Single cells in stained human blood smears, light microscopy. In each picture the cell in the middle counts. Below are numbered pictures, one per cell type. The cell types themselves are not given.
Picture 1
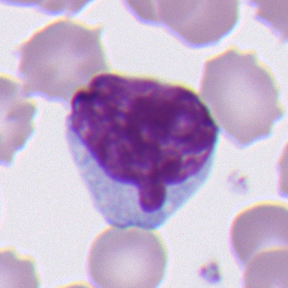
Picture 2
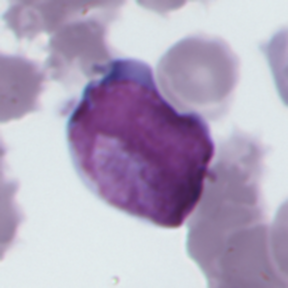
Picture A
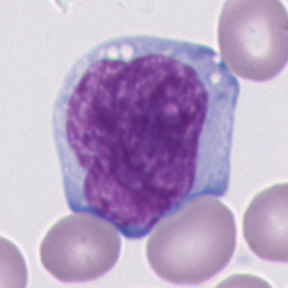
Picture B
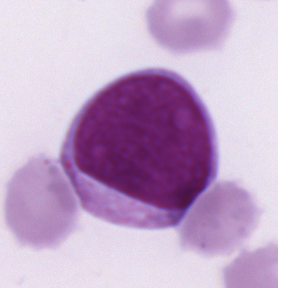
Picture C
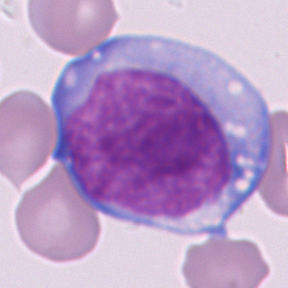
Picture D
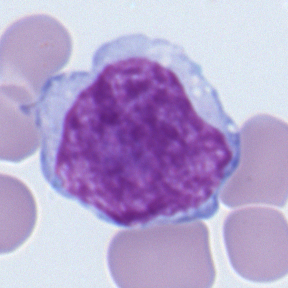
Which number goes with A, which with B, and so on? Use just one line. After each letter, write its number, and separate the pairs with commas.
A 2, B 2, C 2, D 2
